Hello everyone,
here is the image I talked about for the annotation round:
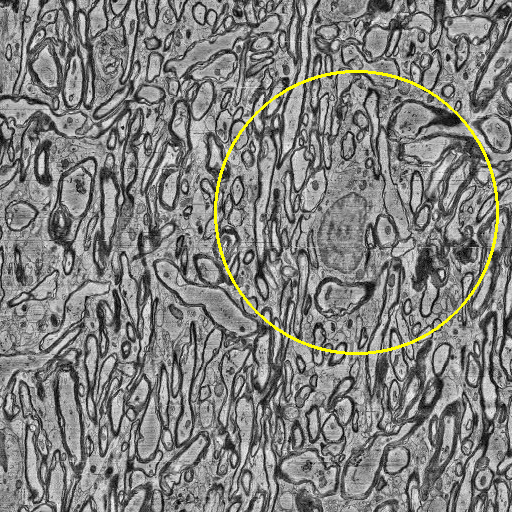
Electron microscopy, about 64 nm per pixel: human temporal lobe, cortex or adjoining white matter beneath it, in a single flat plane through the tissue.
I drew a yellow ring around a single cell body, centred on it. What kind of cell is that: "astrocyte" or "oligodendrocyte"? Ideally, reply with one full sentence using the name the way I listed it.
The cell your yellow ring is centred on is an oligodendrocyte, going by your list.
